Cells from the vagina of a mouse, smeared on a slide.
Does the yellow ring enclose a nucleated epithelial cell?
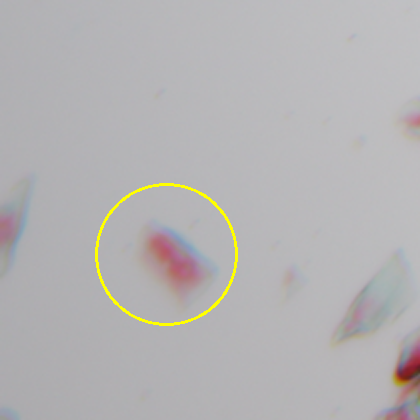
Yes. The ring encloses a nucleated epithelial cell.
